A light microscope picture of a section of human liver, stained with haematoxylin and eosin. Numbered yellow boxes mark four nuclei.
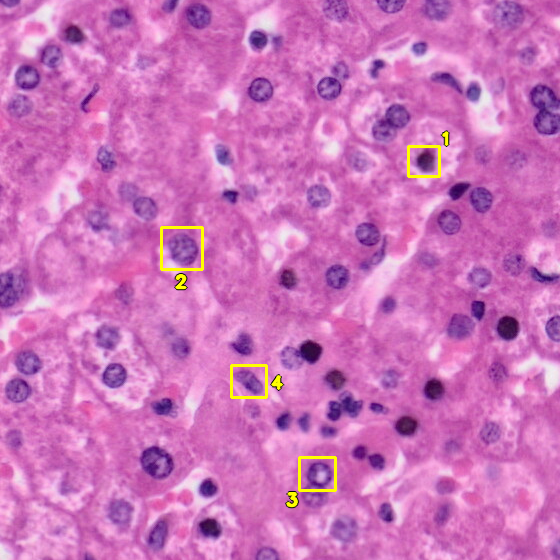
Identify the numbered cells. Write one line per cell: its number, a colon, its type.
1: hepatocyte
2: hepatocyte
3: hepatocyte
4: Kupffer cell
